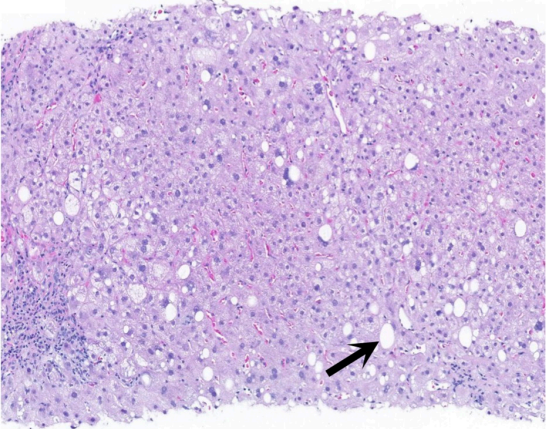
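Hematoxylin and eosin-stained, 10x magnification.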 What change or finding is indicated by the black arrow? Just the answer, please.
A: vacuoles of macrovesicular steatosis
